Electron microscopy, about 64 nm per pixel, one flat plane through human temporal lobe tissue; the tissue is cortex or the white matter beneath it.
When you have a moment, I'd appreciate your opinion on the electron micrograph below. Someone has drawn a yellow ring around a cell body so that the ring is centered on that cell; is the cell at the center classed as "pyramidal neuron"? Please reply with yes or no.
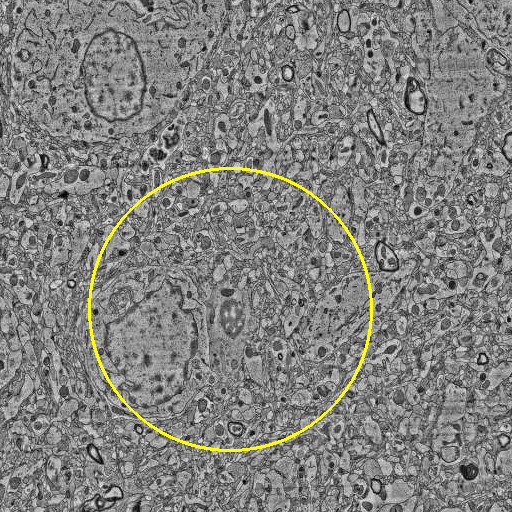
No, that cell belongs to another kind.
